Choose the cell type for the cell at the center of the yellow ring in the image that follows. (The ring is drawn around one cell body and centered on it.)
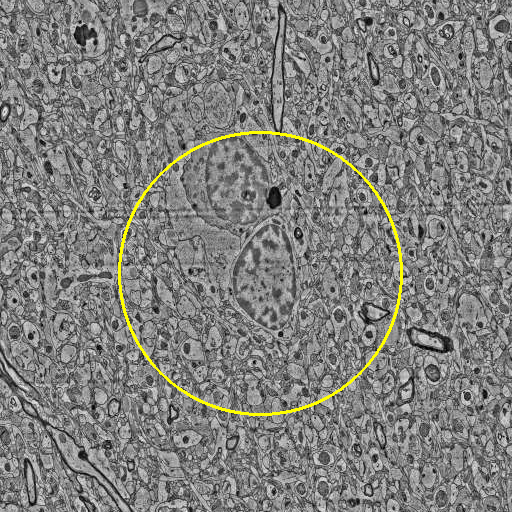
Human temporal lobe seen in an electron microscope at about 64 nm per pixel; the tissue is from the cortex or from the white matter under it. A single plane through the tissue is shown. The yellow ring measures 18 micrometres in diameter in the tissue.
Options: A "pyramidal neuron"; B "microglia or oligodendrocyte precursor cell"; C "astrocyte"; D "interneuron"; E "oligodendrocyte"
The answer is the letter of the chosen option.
B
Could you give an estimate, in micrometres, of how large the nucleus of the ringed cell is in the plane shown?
Roughly 5 by 4 micrometres in this plane, for the nucleus of the ringed cell.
